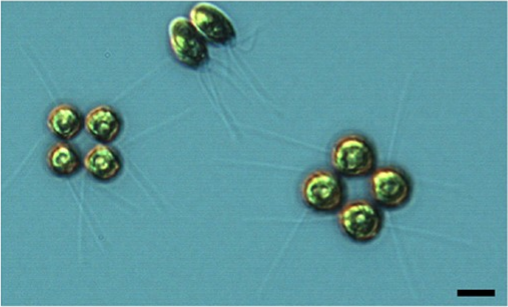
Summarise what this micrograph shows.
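These are small colonies of a green alga, each built from four round to oval cells lying close together. In two of the groups the four cells sit at the corners of a square, leaving a small gap at the centre, while one group at the top is seen edge-on, so only two cells show side by side. Long, very faint thread-like cilia run out from the cells well beyond the colonies.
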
